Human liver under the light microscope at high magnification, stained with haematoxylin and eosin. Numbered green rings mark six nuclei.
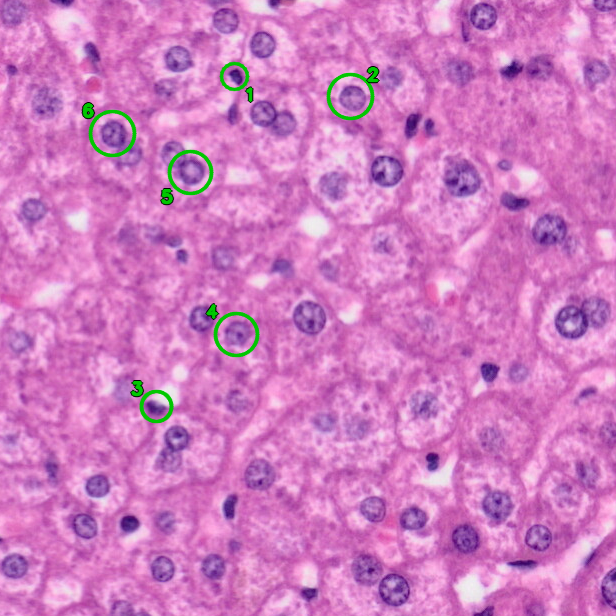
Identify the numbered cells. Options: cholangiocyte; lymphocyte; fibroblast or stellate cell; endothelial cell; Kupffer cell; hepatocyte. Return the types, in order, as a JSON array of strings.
["fibroblast or stellate cell", "hepatocyte", "endothelial cell", "hepatocyte", "hepatocyte", "hepatocyte"]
